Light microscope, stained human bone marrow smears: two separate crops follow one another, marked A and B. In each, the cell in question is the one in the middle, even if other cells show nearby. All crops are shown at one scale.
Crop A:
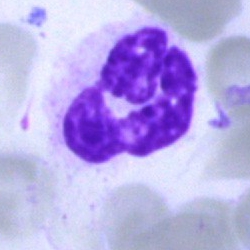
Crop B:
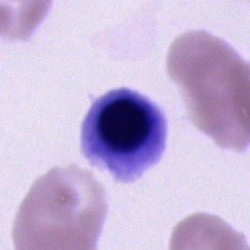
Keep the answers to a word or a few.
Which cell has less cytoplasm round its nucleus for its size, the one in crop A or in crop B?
A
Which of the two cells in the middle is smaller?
B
